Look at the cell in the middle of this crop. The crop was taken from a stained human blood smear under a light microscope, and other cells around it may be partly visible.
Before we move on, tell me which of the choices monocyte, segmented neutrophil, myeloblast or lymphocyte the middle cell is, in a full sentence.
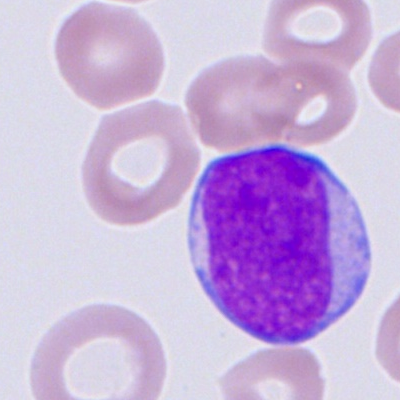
The centrally placed cell is classified as a myeloblast.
